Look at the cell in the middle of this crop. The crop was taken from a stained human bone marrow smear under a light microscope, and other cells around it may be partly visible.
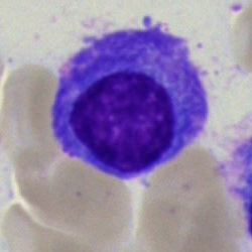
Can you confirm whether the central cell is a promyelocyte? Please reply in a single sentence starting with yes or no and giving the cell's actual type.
No, a plasma cell, not a promyelocyte, is what sits in the centre of the crop.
